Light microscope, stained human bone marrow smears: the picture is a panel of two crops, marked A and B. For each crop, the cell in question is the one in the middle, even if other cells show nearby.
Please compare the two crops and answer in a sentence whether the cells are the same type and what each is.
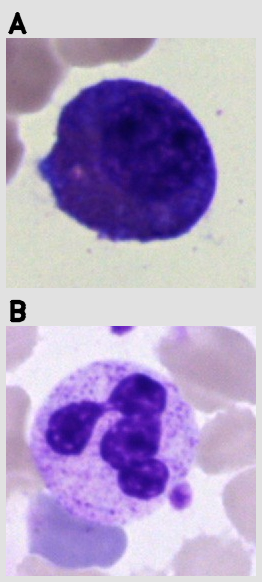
No, the central cell of crop A is an eosinophil; that of crop B is a segmented neutrophil.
